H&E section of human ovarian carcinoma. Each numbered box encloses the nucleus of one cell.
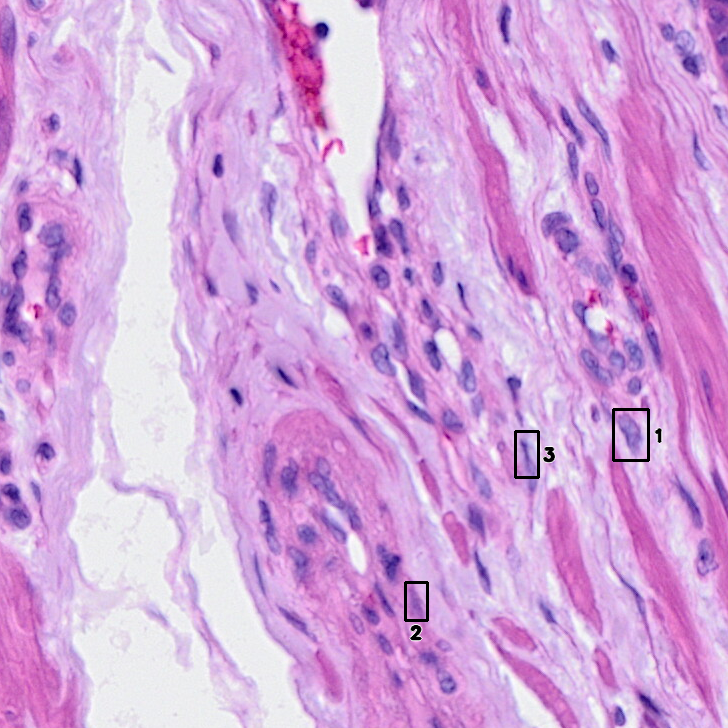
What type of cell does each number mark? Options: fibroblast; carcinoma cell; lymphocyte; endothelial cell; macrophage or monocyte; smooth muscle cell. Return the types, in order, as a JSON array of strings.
["fibroblast", "smooth muscle cell", "fibroblast"]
